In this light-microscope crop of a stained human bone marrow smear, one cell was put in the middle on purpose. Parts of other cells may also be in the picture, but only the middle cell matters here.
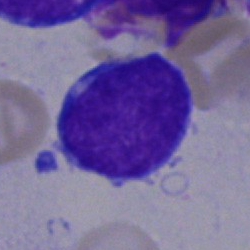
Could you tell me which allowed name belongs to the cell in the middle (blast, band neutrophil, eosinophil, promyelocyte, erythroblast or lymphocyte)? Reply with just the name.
blast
